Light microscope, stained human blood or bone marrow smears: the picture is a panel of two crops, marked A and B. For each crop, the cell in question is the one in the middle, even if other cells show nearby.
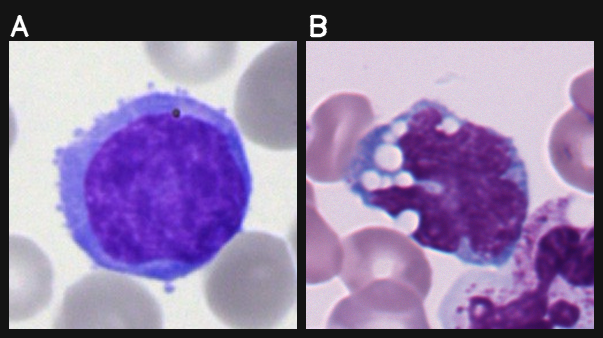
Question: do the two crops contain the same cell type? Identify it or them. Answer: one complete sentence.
No, the correct reading is a blast in crop A and a monocyte in crop B.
